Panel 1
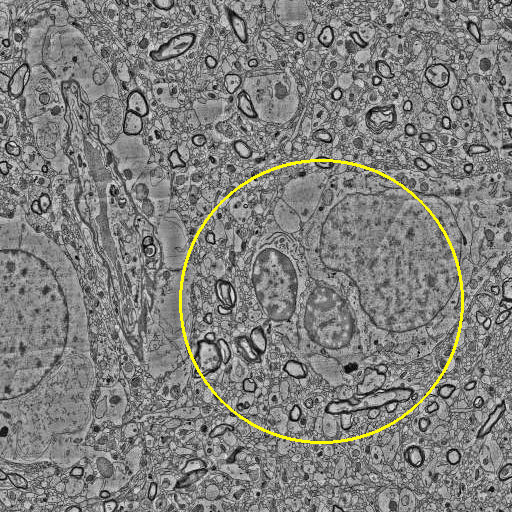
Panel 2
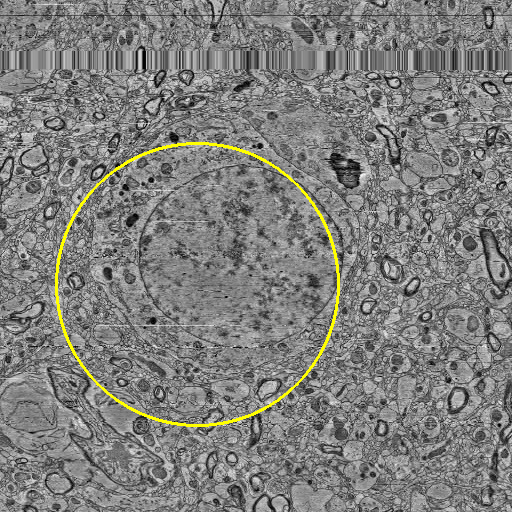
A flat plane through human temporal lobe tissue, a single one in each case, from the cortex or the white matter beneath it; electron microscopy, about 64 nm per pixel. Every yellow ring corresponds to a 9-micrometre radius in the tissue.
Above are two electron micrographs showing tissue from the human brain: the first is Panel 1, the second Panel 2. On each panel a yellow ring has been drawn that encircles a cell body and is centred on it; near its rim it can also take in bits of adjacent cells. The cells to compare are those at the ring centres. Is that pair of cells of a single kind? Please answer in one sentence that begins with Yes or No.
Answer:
No, the ring-centred cells of Panel 1 and Panel 2 belong to two kinds.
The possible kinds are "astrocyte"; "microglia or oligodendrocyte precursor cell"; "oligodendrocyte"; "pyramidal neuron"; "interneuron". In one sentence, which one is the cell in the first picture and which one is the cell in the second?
The cell ringed in the second picture is a pyramidal neuron, whereas the one ringed in the first is an oligodendrocyte.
